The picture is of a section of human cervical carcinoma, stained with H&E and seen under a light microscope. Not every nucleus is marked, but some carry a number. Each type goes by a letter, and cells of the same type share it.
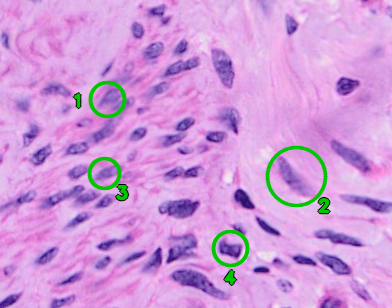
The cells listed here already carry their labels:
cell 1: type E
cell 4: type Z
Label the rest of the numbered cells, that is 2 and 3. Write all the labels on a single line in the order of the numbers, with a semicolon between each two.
type Z; type E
